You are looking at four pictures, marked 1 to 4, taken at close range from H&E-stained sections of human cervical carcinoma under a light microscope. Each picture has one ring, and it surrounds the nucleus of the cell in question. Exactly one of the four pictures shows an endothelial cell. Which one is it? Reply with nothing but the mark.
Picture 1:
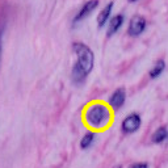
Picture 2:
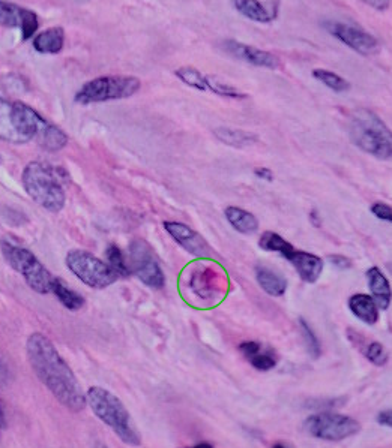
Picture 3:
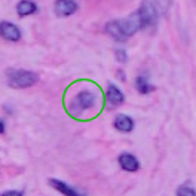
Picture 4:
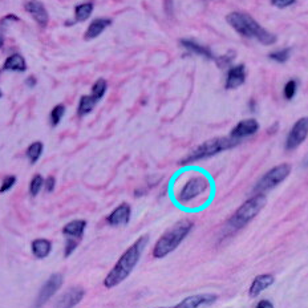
2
